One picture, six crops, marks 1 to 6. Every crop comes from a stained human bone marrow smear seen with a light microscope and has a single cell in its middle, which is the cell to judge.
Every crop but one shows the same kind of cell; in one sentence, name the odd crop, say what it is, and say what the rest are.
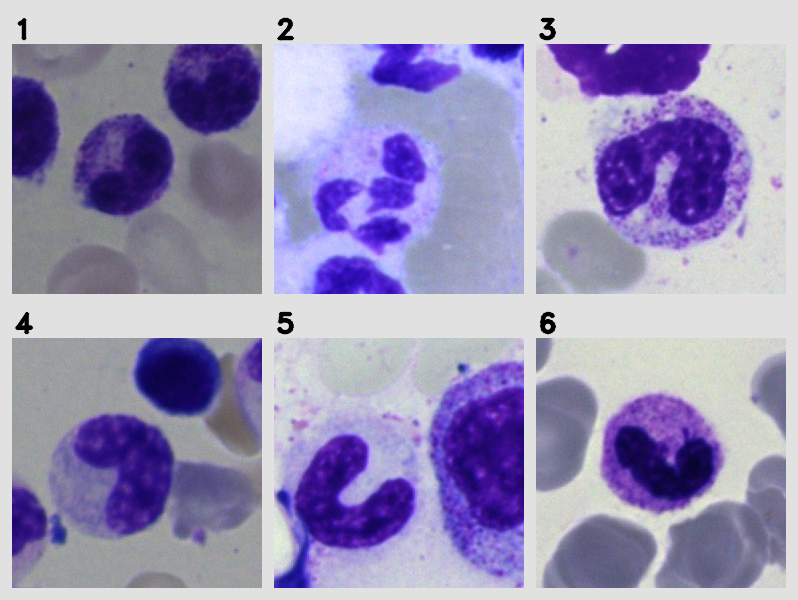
Whereas the other crops show band neutrophils, crop 2 is a segmented neutrophil.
